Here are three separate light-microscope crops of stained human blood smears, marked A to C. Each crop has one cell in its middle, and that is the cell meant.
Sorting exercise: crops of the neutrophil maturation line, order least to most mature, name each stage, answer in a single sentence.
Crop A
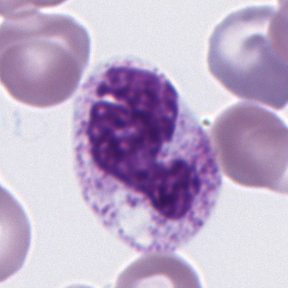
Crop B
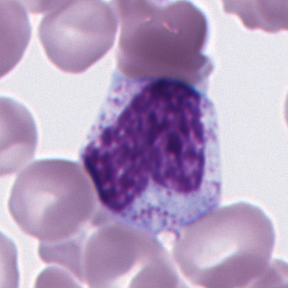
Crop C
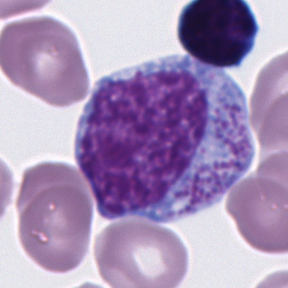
Counting from the least mature up to the most mature, the order is crop C (a promyelocyte), crop B (a band neutrophil) and crop A (a segmented neutrophil).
